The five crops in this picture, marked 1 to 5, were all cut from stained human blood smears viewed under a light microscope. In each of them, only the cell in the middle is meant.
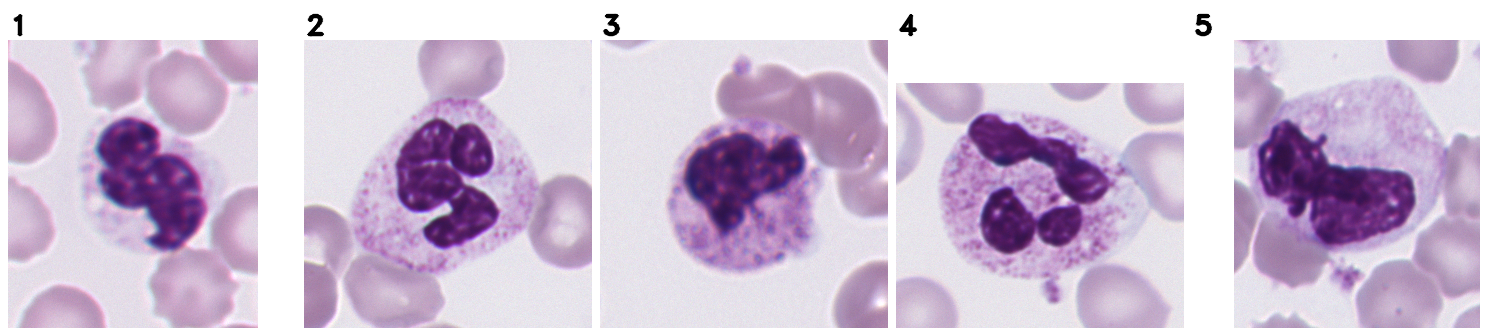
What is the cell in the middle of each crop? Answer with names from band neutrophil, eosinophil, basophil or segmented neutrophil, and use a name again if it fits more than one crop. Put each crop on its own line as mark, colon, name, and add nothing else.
1: segmented neutrophil
2: segmented neutrophil
3: segmented neutrophil
4: segmented neutrophil
5: segmented neutrophil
